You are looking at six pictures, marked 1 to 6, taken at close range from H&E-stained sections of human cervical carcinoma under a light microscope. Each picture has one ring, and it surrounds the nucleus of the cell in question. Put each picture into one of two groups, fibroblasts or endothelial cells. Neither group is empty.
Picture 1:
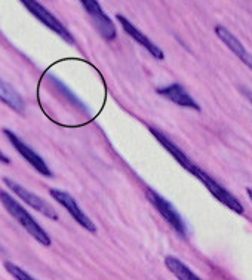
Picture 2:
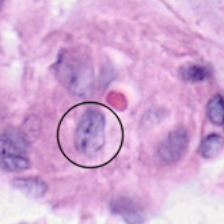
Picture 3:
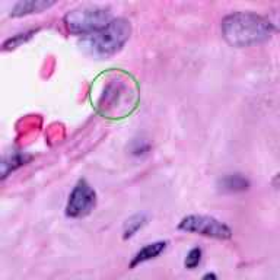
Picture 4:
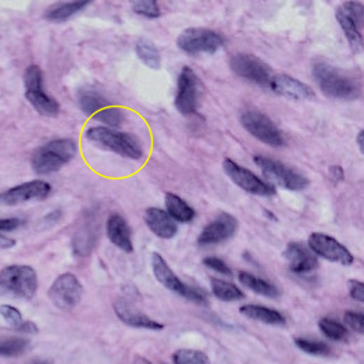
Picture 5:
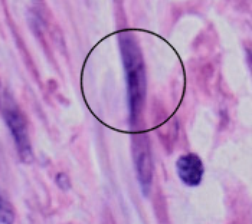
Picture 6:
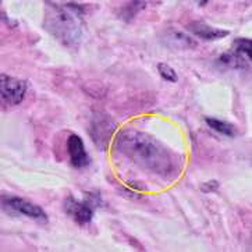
1: endothelial cell
2: endothelial cell
3: endothelial cell
4: fibroblast
5: fibroblast
6: endothelial cell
